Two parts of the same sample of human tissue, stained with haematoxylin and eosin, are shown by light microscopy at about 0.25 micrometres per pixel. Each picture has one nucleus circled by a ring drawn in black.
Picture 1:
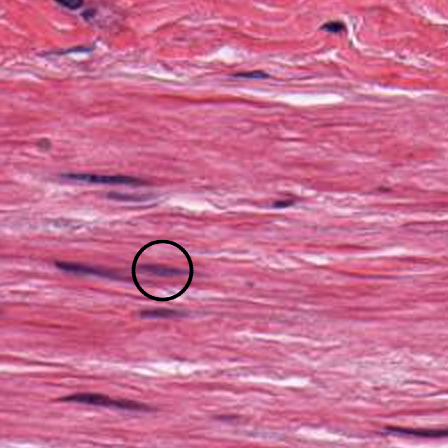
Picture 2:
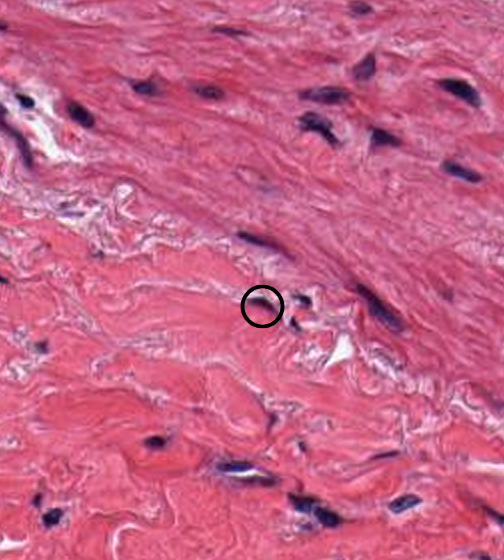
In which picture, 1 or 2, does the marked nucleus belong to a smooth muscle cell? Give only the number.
1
